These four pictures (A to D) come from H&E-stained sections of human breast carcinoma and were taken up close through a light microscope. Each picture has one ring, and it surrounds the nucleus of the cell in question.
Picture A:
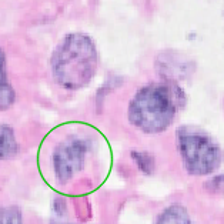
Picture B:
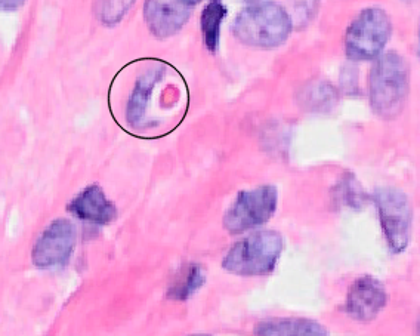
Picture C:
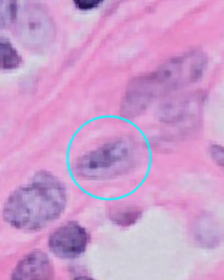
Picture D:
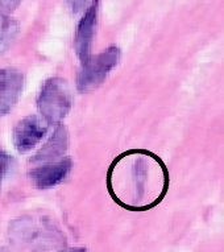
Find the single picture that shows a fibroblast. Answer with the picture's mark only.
D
